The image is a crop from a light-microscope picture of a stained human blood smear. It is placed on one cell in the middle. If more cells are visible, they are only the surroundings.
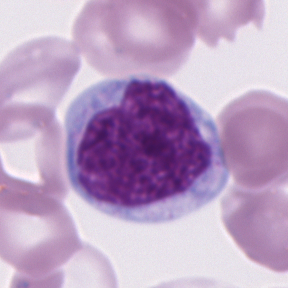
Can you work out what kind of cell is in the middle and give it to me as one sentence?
Centred in the crop is a monocyte.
